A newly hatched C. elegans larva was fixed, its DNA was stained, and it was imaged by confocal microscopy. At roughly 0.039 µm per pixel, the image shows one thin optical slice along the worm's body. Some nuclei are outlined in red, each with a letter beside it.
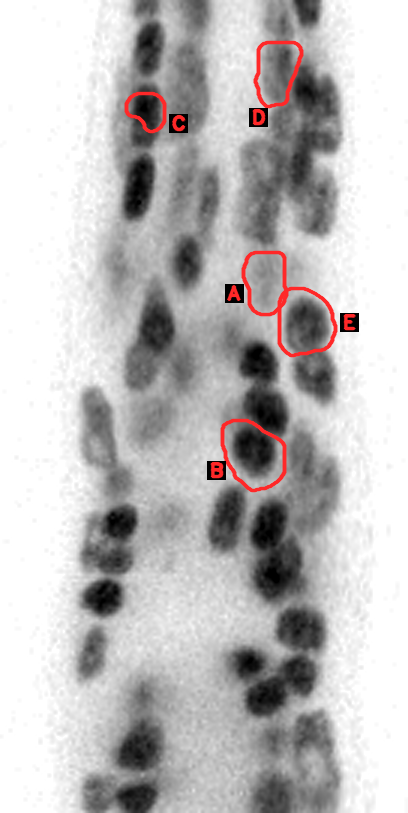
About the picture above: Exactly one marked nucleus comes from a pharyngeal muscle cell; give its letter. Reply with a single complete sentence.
The one from a pharyngeal muscle cell is D.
